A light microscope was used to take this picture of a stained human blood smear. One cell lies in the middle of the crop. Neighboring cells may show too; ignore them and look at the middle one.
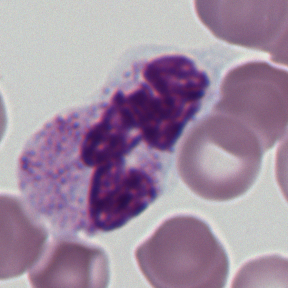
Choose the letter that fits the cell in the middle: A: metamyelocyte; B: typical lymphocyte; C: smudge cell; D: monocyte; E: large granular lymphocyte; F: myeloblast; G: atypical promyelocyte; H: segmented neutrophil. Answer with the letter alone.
H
